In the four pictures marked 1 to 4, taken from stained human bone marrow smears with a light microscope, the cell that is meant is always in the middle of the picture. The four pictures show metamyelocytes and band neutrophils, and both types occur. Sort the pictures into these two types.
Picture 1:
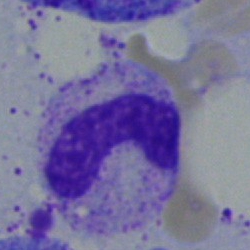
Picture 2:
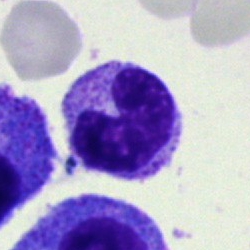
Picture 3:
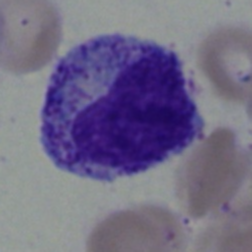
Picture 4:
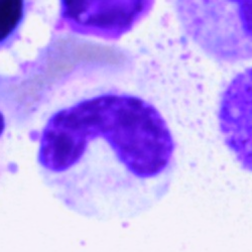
1: band neutrophil
2: band neutrophil
3: metamyelocyte
4: band neutrophil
